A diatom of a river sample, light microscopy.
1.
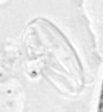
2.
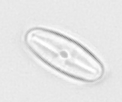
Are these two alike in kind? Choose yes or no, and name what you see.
Yes. Sellaphora.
